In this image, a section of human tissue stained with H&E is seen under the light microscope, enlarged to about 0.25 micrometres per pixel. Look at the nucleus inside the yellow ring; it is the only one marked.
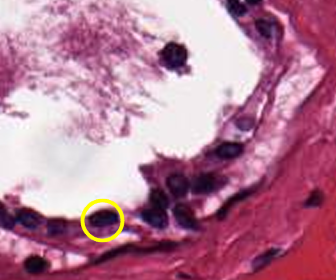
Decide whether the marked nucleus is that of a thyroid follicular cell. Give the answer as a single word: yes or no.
yes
